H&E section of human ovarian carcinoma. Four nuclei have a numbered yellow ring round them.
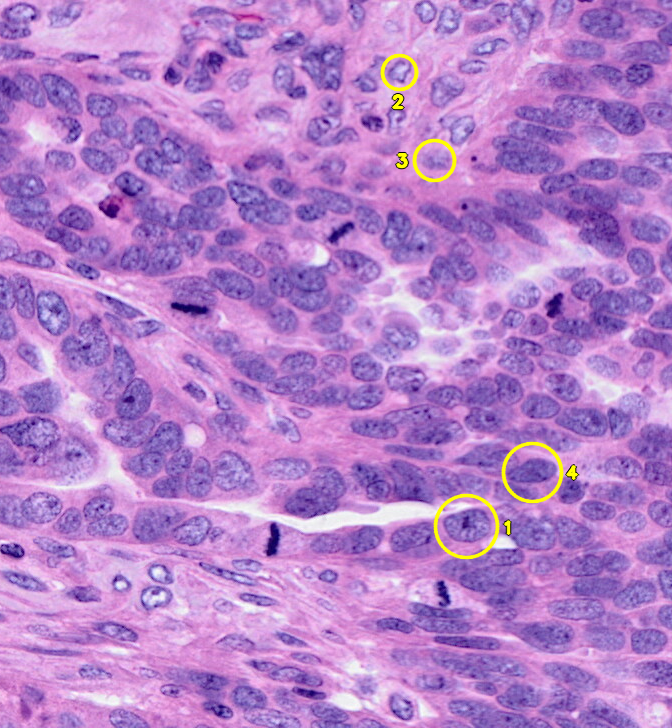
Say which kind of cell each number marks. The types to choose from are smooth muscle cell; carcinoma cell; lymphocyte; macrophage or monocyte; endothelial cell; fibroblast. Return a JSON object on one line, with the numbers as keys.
{"1": "carcinoma cell", "2": "fibroblast", "3": "fibroblast", "4": "carcinoma cell"}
